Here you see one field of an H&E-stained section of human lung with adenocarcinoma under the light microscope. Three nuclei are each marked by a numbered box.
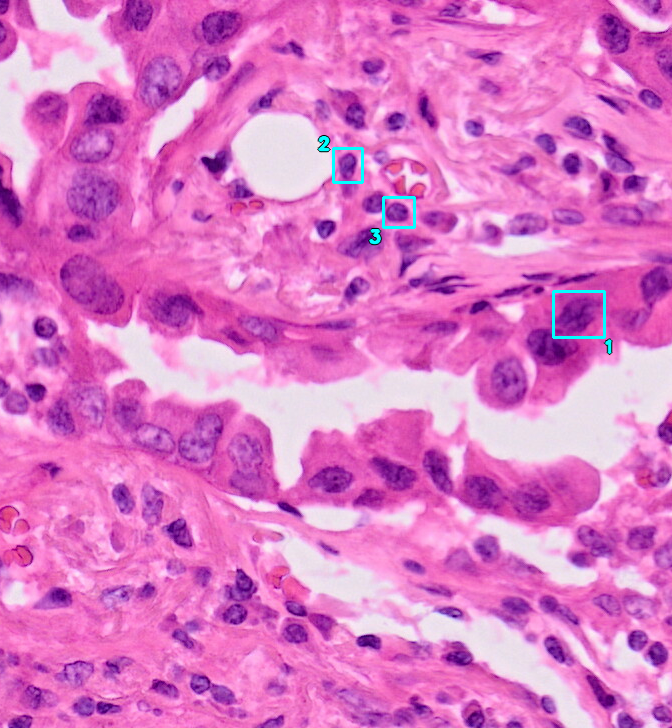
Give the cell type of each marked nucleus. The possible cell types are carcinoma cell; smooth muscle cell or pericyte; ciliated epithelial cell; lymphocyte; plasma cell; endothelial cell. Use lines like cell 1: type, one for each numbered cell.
cell 1: carcinoma cell
cell 2: lymphocyte
cell 3: lymphocyte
